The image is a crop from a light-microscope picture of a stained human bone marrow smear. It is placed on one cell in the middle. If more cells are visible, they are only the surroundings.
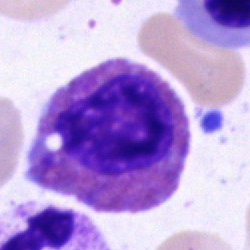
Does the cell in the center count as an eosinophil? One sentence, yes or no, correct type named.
Yes, this crop has an eosinophil at its centre.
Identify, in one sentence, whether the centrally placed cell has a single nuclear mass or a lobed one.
In this cell the nucleus is a solitary compact mass, round, oval or kidney-shaped.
